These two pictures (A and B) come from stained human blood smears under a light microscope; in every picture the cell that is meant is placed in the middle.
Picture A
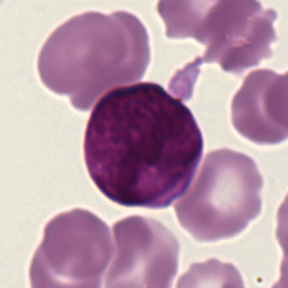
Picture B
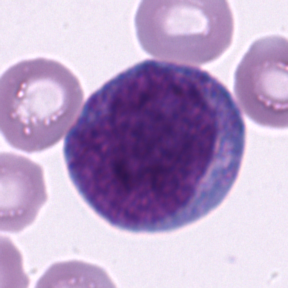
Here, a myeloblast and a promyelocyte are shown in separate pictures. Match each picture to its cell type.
A: myeloblast
B: promyelocyte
